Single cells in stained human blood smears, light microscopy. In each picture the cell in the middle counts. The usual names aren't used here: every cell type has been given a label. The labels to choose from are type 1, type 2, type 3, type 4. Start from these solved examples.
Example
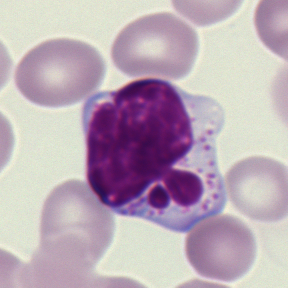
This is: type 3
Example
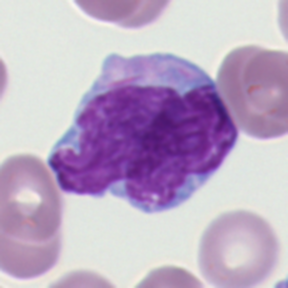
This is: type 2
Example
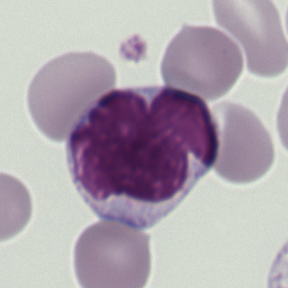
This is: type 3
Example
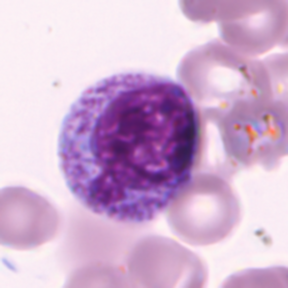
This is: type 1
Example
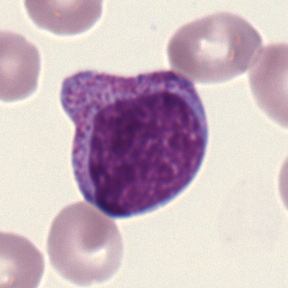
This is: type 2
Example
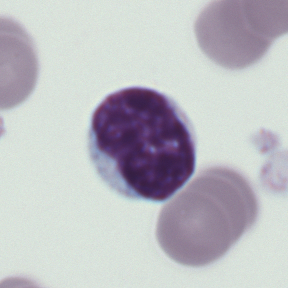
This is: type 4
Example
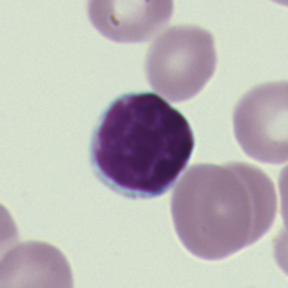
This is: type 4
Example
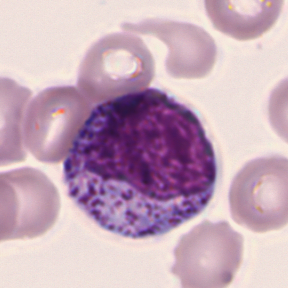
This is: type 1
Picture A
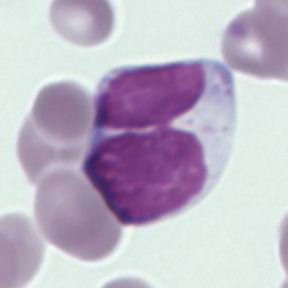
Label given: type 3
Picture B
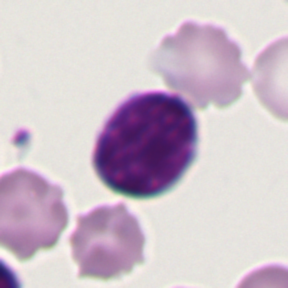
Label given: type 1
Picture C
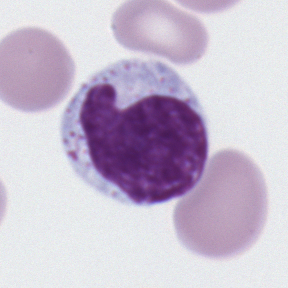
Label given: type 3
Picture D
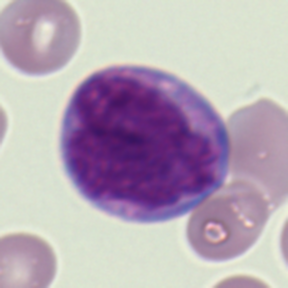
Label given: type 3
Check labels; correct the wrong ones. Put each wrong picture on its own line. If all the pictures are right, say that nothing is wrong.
B: type 4, not type 1
D: type 2, not type 3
